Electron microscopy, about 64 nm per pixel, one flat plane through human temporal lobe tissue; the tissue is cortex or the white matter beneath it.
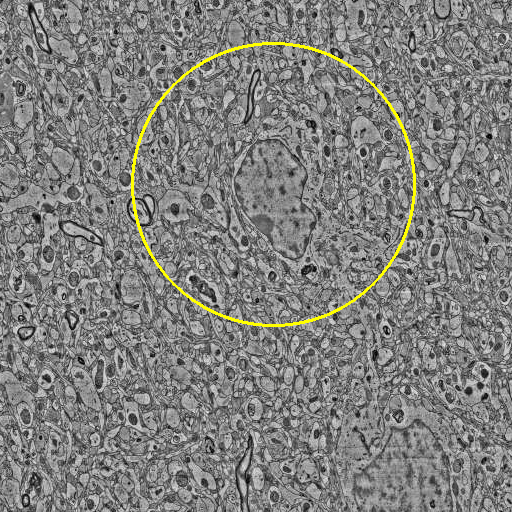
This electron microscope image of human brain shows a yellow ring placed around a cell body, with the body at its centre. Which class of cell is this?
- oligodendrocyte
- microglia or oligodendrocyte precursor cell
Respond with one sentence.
The cell body at the ring's centre is a microglial cell or oligodendrocyte precursor cell.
